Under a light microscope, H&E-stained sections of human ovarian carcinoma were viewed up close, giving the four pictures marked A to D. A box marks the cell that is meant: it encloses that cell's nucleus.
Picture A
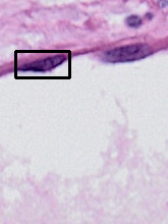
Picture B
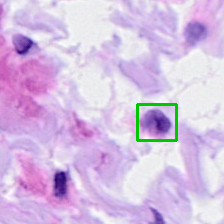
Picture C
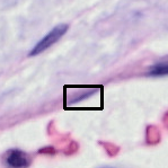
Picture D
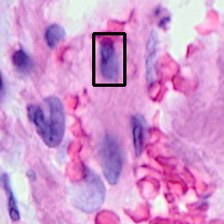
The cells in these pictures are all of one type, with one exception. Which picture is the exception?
B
